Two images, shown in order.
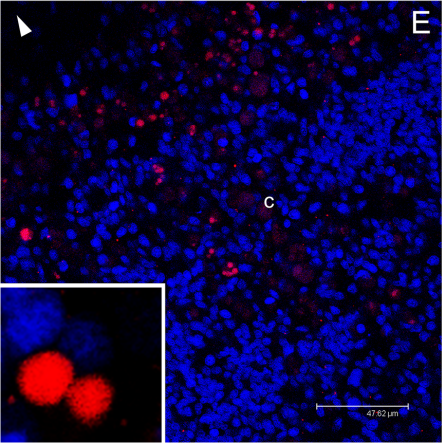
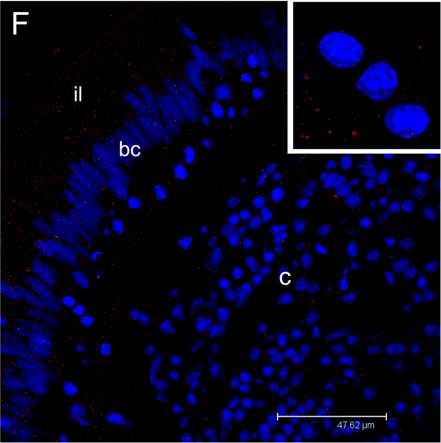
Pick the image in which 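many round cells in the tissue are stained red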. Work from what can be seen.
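The first image. Second image: the tissue shows blue nuclei with only faint scattered red dots; the inset cells are blue only. First image: numerous bright red round bodies lie among the blue nuclei, and the inset shows strongly red round cells.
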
